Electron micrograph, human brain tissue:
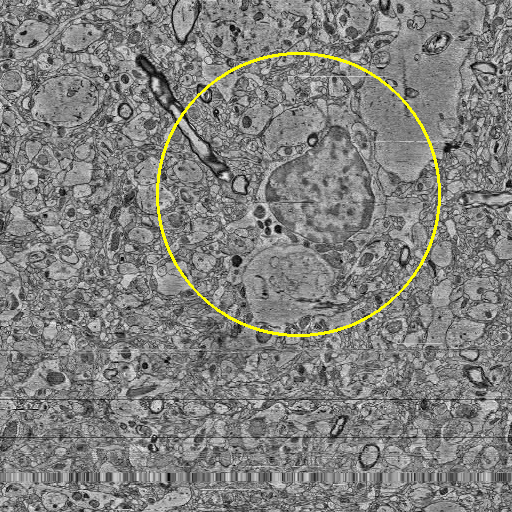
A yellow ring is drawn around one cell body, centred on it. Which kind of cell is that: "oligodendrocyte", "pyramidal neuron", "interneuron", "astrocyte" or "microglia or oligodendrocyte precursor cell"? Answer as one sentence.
It is a microglial cell or oligodendrocyte precursor cell at the centre of the ring.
